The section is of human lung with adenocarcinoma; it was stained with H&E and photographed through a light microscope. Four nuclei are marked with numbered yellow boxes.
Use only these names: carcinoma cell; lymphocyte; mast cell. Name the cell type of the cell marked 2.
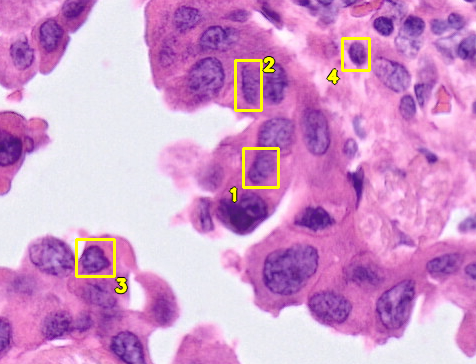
carcinoma cell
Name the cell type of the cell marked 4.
lymphocyte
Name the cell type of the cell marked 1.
carcinoma cell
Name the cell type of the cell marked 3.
carcinoma cell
